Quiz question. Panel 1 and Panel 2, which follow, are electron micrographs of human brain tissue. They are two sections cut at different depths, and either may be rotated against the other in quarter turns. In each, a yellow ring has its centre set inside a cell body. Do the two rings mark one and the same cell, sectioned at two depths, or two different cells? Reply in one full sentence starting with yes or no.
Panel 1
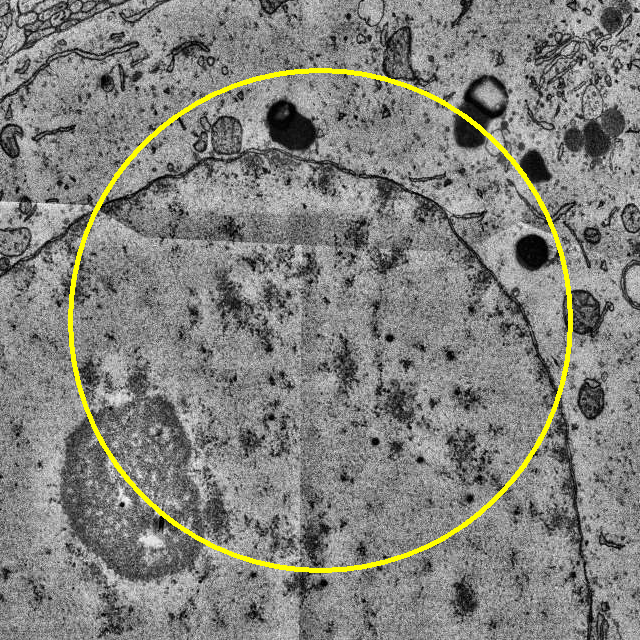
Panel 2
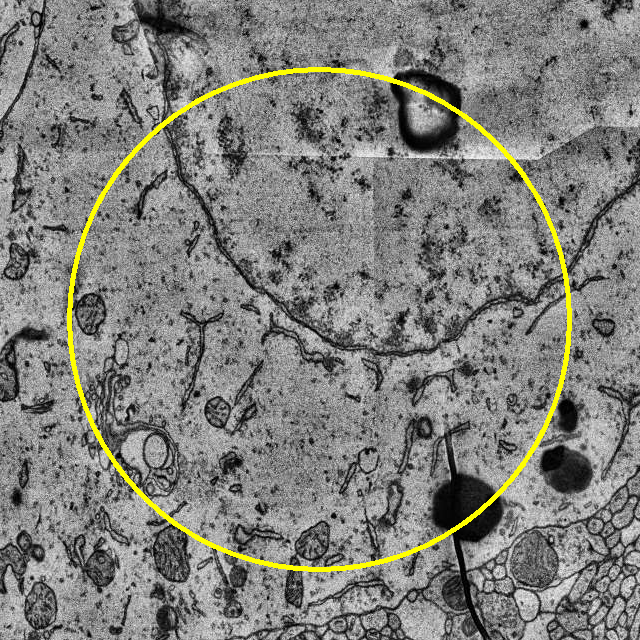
Yes, the cell inside the first ring is the cell inside the second.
